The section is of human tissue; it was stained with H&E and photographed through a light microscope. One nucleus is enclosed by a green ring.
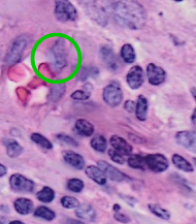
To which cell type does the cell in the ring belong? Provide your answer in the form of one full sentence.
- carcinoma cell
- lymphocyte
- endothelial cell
By cell type, the cell in the ring is an endothelial cell.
